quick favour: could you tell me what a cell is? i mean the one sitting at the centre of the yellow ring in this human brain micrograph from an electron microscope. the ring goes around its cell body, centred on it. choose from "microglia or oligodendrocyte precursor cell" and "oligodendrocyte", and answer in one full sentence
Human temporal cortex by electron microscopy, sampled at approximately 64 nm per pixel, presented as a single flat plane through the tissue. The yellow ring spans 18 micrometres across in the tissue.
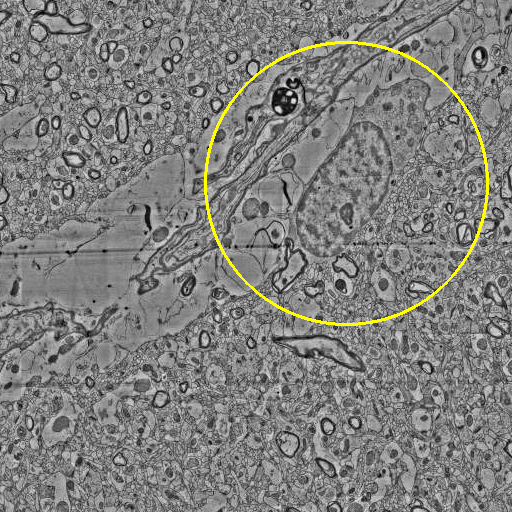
That's an oligodendrocyte, the cell sitting at the centre of the yellow ring.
